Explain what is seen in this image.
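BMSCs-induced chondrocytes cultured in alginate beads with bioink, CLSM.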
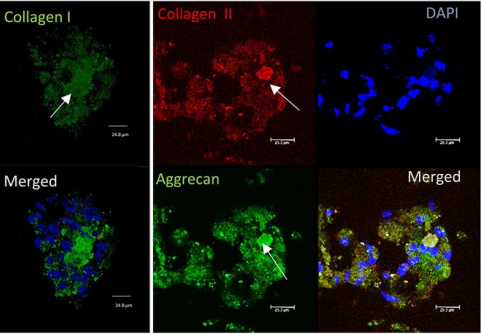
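The blue channel shows many small, rounded to oval nuclei scattered through the cluster, some lying close together in small groups. The red channel shows patchy, irregular deposits with a few bright rounded foci distributed across the cluster. The green channel shows a broad, lumpy signal that fills much of the cluster around and between the cells. In the combined view, red and green overlap largely as yellow-orange material surrounding the blue nuclei, so the stained material lies around the cells rather than over the nuclei.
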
